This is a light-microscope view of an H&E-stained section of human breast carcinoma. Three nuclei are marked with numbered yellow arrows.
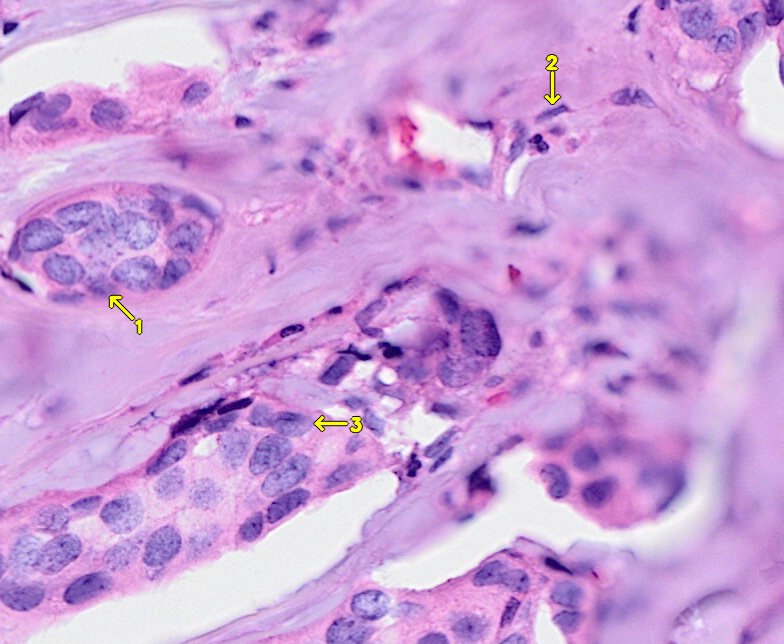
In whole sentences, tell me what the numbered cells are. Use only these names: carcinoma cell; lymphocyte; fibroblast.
Cell 1 is a carcinoma cell, cell 2 is a fibroblast and cell 3 is a carcinoma cell.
